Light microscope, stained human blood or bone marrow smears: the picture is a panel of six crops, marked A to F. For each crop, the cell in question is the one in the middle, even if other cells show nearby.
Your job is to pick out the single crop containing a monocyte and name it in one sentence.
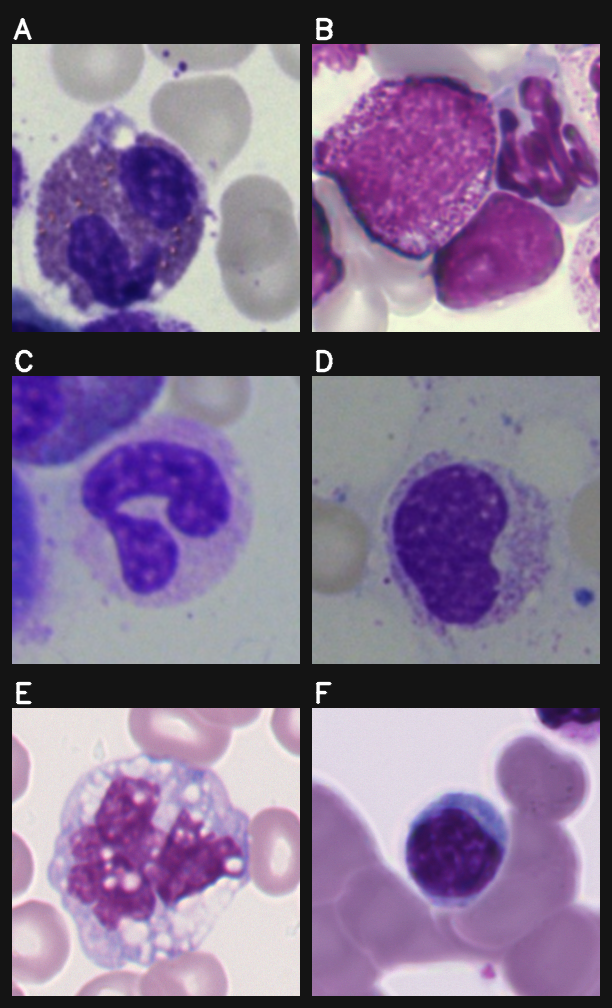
The correct choice is crop E, the one showing a monocyte.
